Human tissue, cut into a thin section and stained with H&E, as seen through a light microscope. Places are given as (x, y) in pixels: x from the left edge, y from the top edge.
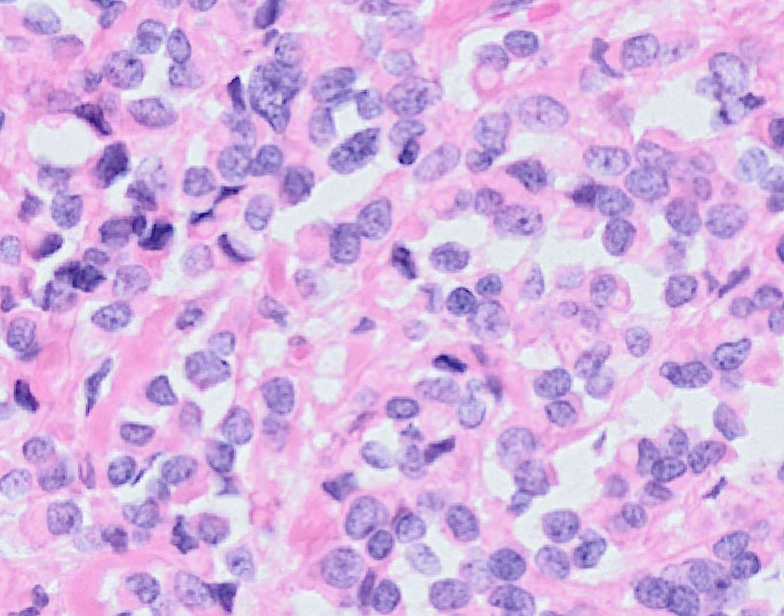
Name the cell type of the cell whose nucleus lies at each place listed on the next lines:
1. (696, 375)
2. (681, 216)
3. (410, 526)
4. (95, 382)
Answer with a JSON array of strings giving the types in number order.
["carcinoma cell", "carcinoma cell", "carcinoma cell", "fibroblast"]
